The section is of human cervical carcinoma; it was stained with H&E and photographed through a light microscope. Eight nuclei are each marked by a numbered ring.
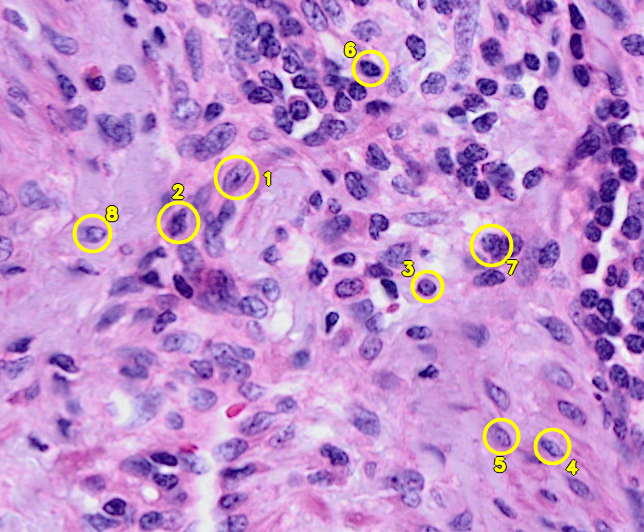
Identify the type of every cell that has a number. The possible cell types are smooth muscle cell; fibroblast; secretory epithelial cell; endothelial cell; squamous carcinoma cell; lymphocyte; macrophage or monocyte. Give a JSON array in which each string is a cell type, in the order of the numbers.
["endothelial cell", "lymphocyte", "lymphocyte", "smooth muscle cell", "smooth muscle cell", "lymphocyte", "lymphocyte", "fibroblast"]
